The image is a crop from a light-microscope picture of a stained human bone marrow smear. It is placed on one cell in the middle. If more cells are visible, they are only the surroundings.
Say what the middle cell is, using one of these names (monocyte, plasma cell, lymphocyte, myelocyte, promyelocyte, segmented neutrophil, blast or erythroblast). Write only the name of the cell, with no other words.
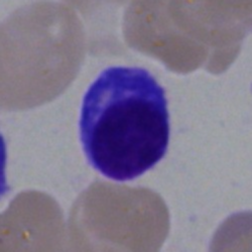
plasma cell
